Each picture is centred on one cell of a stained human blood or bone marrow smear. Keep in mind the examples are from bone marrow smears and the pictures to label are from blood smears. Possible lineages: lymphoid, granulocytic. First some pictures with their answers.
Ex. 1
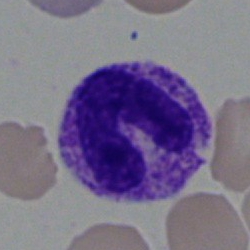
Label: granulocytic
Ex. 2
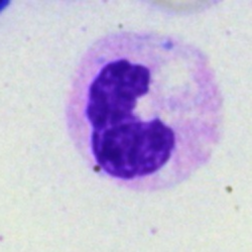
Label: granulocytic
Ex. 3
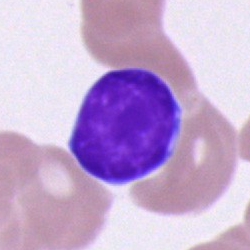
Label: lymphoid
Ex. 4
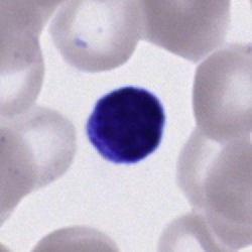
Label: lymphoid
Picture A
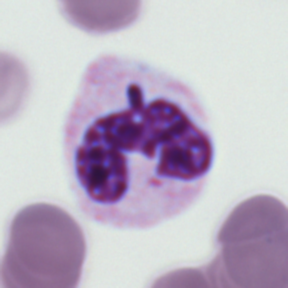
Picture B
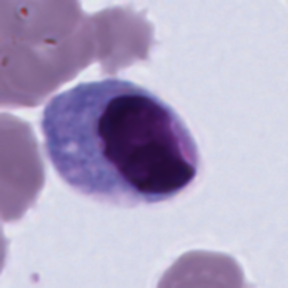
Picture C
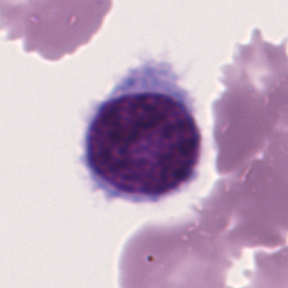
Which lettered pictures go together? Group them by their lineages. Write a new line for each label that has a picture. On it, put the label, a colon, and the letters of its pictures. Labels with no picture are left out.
lymphoid: B, C
granulocytic: A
